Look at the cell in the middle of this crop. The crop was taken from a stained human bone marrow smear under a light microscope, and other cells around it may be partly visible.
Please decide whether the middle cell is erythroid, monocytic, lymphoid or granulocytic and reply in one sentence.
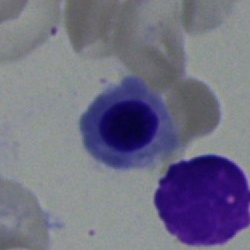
The cell at the middle of the crop is designated as erythroid in lineage.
